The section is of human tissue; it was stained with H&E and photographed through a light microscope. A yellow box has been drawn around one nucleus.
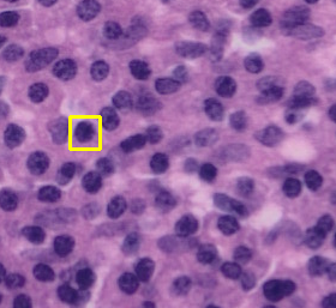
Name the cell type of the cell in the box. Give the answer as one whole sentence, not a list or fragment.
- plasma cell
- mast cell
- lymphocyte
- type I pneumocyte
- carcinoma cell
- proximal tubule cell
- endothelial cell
What the cell in the box represents is a plasma cell.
